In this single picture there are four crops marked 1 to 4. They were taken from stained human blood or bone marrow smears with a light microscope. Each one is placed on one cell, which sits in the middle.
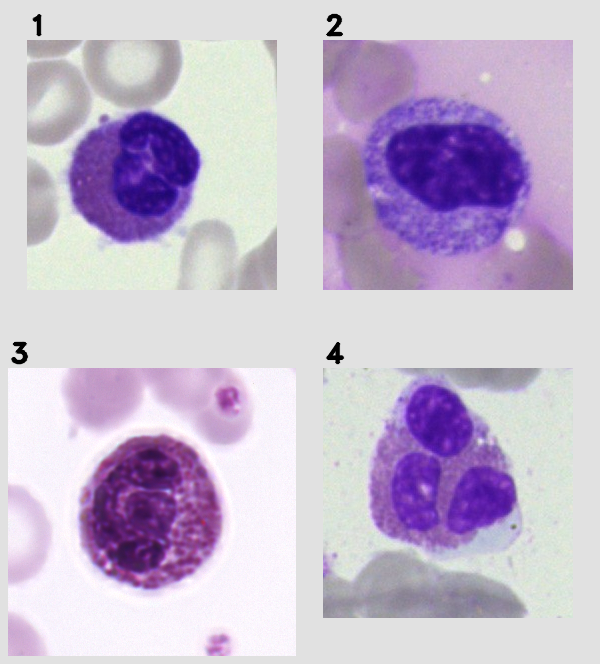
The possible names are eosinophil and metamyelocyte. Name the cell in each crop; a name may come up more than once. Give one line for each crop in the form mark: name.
1: eosinophil
2: metamyelocyte
3: eosinophil
4: eosinophil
